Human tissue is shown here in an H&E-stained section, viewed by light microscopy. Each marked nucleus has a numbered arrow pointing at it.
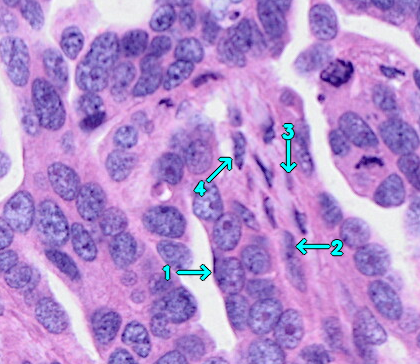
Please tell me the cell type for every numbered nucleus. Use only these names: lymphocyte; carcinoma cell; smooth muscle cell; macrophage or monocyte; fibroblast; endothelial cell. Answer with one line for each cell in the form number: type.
1: carcinoma cell
2: fibroblast
3: fibroblast
4: fibroblast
